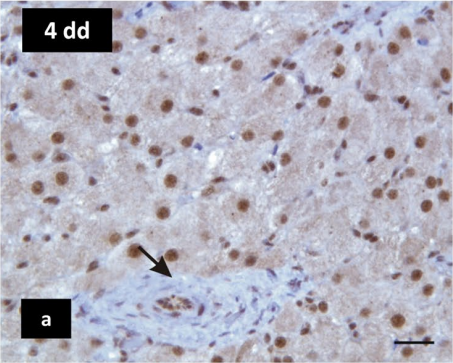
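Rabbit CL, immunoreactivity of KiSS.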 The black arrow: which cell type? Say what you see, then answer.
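The arrow points at a small vessel with a narrow lumen. Flattened, elongated cells ring the lumen in concentric layers. The vessel lies in a strip of blue connective tissue among the large cells.
Conclusion: Endothelial and blood vessel smooth muscular cells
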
